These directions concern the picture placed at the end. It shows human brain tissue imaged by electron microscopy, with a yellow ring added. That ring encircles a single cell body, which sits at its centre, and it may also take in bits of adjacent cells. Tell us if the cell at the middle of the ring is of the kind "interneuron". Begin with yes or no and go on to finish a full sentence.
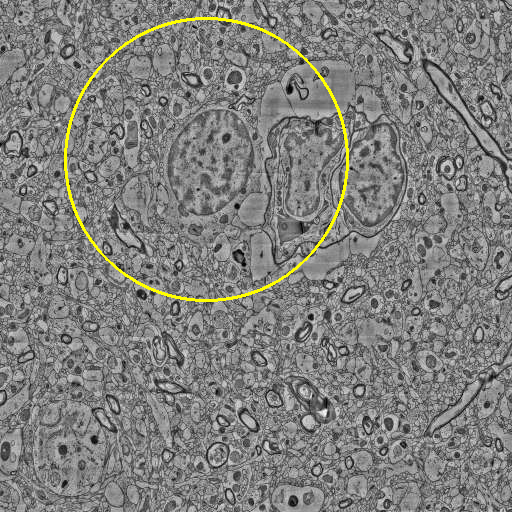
No, the cell sitting at the centre of the yellow ring in the picture belongs to another kind.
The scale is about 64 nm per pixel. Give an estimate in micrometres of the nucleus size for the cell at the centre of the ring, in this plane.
In this plane, about 7 micrometres in length and 5 in width.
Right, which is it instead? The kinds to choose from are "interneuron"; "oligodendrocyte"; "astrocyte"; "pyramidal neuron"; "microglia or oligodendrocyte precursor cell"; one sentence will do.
The cell at the middle of the ring is an oligodendrocyte.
